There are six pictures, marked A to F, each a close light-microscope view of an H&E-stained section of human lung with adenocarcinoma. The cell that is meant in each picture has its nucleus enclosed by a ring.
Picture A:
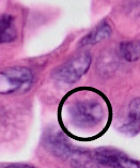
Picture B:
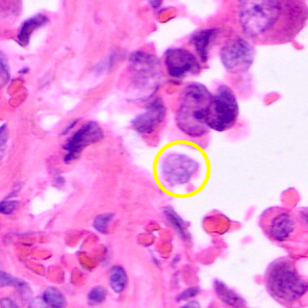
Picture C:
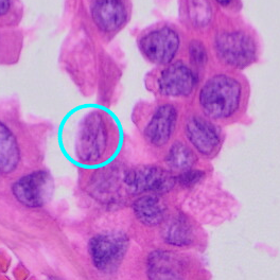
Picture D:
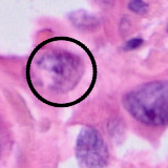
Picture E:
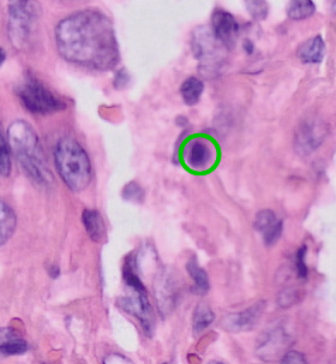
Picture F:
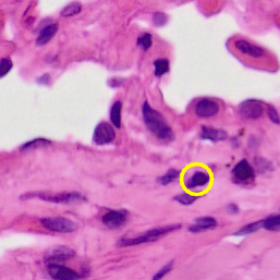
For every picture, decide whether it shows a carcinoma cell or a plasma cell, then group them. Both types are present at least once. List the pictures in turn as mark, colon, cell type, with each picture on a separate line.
A: carcinoma cell
B: carcinoma cell
C: carcinoma cell
D: carcinoma cell
E: plasma cell
F: plasma cell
